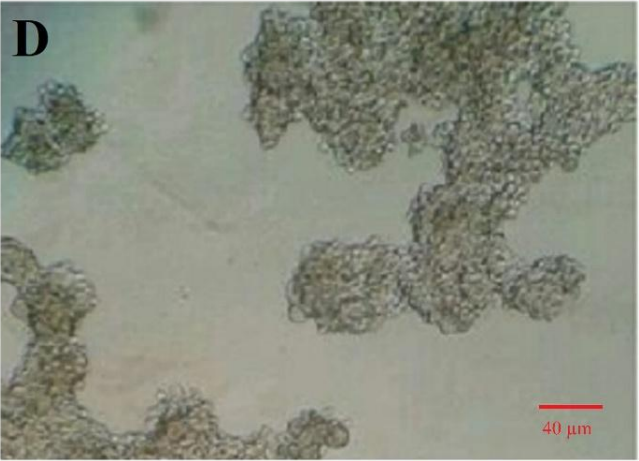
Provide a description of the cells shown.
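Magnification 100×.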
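Large, irregular, branching masses of many small round cells packed closely together occupy much of the field, with clear background between them. The cells are refractile with visible rims, and the masses have bumpy, lobed outlines.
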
